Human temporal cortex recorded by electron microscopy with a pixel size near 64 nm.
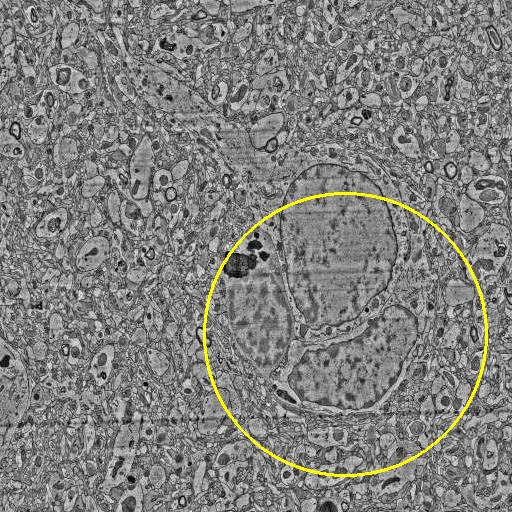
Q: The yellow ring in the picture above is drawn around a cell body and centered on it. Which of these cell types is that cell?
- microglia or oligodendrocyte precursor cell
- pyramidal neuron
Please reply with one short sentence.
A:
The cell body at the ring's center belongs to a microglial cell or oligodendrocyte precursor cell.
